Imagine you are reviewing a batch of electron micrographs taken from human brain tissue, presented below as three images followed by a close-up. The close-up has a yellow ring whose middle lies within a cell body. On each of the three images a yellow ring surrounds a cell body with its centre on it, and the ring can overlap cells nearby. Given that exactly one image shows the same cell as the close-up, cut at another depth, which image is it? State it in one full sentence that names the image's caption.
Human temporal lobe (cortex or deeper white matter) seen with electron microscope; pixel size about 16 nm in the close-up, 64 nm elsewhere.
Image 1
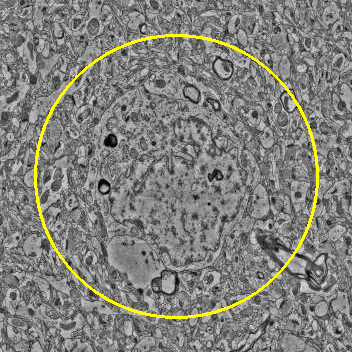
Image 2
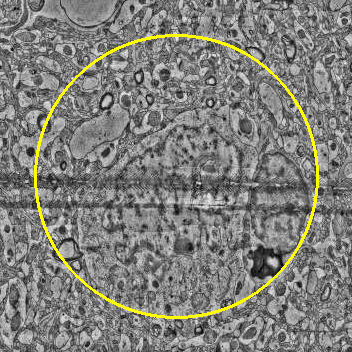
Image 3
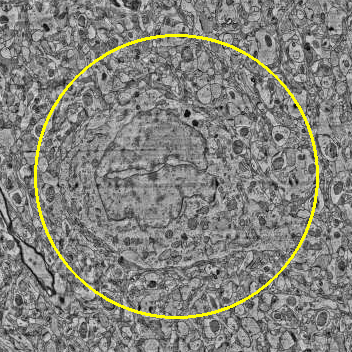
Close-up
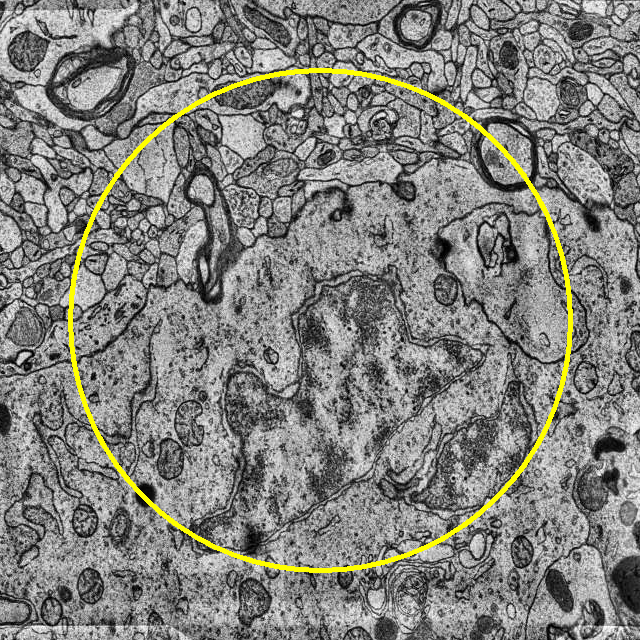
The cell of the close-up is the one in Image 2.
